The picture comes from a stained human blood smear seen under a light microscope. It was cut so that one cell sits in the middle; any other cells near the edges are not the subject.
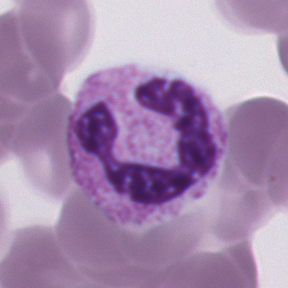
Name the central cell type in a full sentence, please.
In the central position of this crop, the cell is a segmented neutrophil.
